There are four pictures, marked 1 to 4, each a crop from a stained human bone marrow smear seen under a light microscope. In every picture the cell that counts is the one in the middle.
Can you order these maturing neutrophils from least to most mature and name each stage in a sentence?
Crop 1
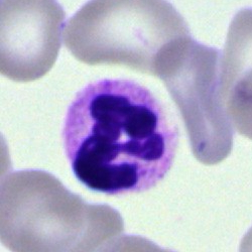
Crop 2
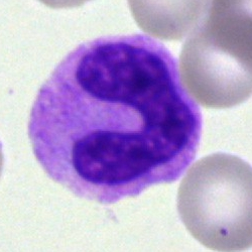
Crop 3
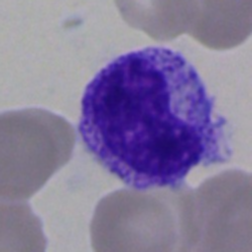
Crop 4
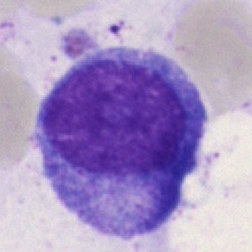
The right order here, from least to most mature, is crop 4 (a promyelocyte), crop 3 (a myelocyte), crop 2 (a band neutrophil) and crop 1 (a segmented neutrophil).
